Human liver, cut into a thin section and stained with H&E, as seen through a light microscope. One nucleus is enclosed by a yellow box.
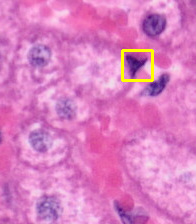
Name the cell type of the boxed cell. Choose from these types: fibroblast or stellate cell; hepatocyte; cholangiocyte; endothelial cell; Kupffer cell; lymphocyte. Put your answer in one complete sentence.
The boxed cell appears to be an endothelial cell.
